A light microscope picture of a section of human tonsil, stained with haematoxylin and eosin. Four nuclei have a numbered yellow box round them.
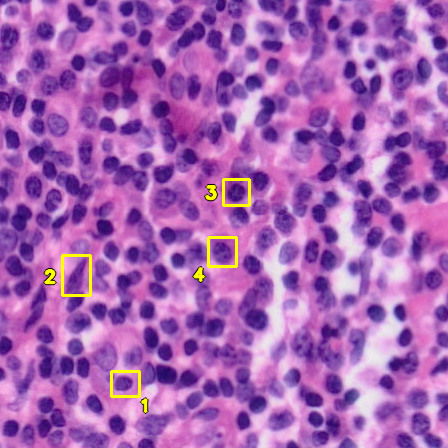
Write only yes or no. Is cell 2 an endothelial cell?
yes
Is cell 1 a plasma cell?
no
